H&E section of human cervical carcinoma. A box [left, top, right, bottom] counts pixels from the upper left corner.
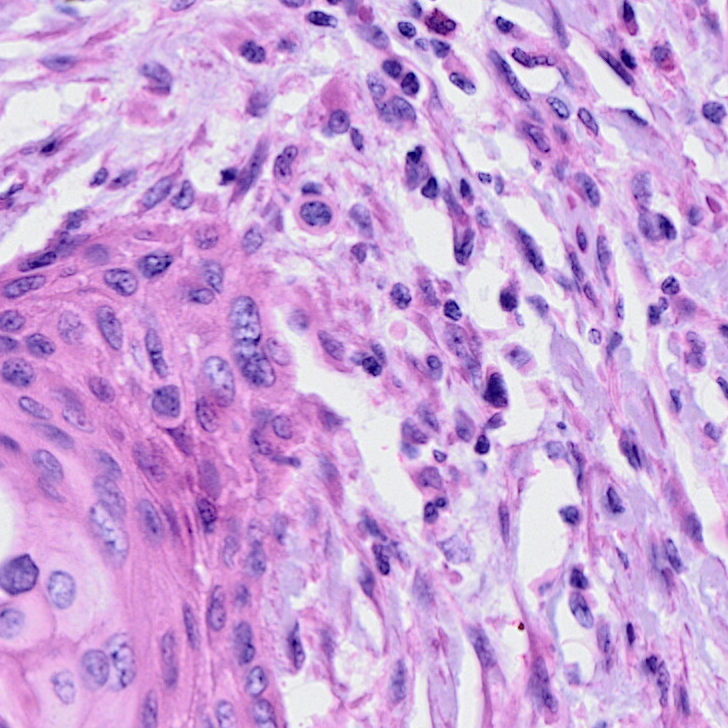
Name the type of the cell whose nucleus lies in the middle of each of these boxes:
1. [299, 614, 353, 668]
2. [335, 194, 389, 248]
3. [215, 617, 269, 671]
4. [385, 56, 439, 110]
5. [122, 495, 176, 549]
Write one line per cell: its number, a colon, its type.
1: fibroblast
2: fibroblast
3: squamous carcinoma cell
4: lymphocyte
5: squamous carcinoma cell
